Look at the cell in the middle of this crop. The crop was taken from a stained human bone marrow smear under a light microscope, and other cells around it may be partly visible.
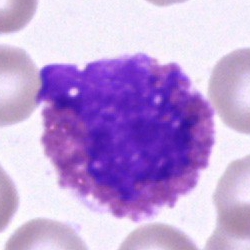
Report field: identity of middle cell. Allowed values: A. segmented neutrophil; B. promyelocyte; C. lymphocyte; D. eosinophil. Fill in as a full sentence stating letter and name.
Given that the cell in the middle is an eosinophil, option D is correct.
